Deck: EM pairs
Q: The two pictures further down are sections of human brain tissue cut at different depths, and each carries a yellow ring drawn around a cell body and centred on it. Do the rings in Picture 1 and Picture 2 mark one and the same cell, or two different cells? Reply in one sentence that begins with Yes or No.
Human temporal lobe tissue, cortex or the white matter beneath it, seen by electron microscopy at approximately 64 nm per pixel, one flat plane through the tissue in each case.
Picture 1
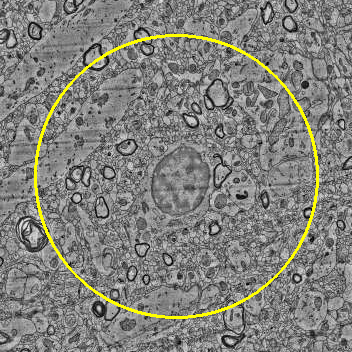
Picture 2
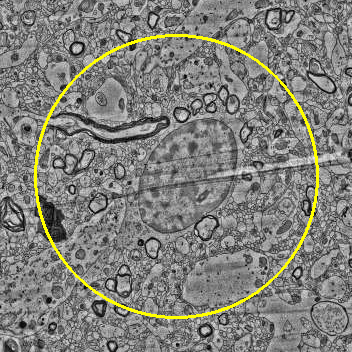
Yes, the two rings encircle a single cell, not a pair.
